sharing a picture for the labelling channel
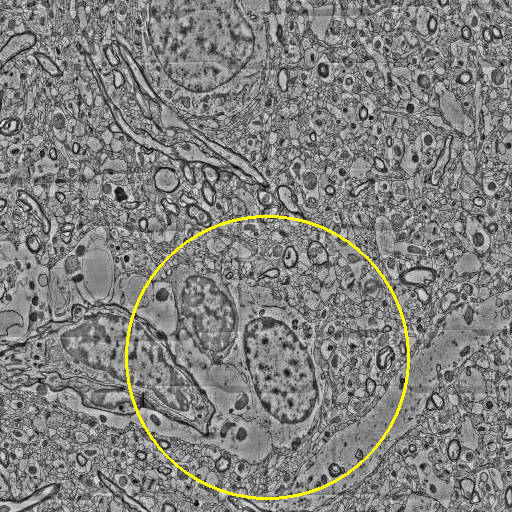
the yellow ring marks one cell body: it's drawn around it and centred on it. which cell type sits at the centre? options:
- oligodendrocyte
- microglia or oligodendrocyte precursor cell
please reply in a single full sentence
In the picture, the cell at the ring's centre is a microglial cell or oligodendrocyte precursor cell, going by the list.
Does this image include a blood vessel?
Yes, the picture includes a blood vessel.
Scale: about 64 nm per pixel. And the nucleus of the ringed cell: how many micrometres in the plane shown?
In this plane, approximately 7 by 4 micrometers, and clearly longer than it is wide.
